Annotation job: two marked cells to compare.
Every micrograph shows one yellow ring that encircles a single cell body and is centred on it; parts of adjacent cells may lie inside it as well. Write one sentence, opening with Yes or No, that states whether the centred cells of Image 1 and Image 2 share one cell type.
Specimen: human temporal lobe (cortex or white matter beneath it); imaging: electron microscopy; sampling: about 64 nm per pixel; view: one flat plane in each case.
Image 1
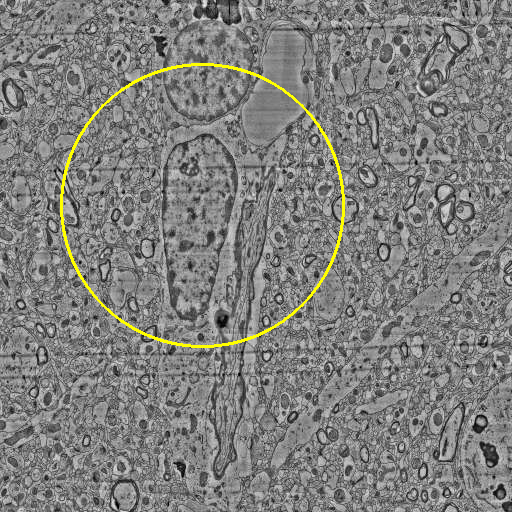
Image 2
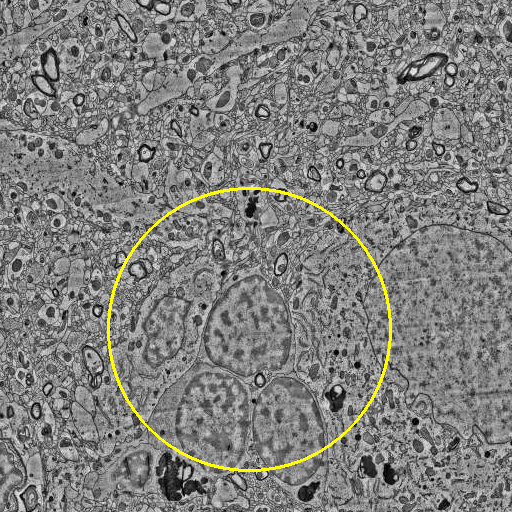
No, the cell centred in Image 1 and the cell centred in Image 2 are of two types.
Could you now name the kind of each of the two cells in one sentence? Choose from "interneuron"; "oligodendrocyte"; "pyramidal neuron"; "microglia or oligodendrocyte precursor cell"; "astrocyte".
The first ring encloses a microglial cell or oligodendrocyte precursor cell; the second ring encloses an oligodendrocyte.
